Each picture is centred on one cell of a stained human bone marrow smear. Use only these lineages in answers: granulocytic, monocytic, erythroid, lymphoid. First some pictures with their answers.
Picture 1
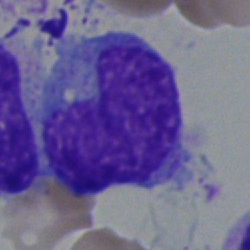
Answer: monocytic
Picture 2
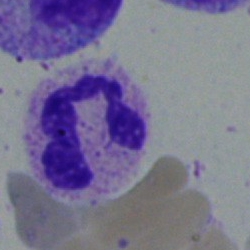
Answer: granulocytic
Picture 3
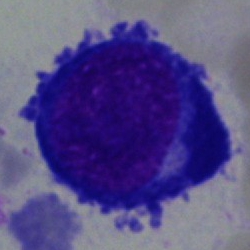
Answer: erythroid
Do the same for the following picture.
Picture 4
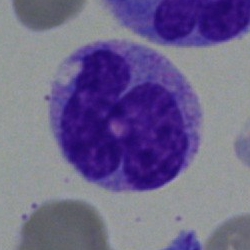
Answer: monocytic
